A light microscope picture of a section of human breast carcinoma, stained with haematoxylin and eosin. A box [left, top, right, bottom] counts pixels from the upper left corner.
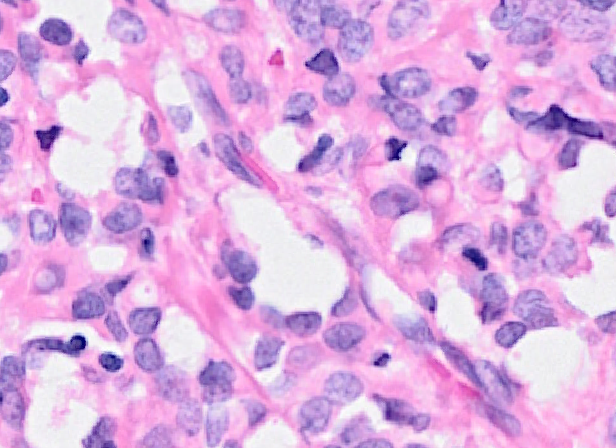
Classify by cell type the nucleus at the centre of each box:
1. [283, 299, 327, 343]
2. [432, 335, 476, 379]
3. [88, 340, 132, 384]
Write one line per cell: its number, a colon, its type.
1: carcinoma cell
2: endothelial cell
3: lymphocyte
